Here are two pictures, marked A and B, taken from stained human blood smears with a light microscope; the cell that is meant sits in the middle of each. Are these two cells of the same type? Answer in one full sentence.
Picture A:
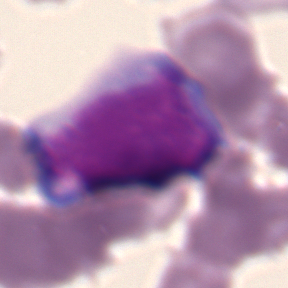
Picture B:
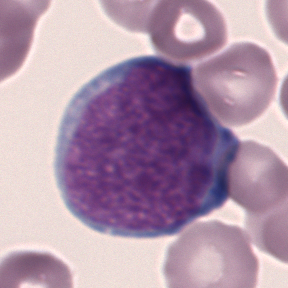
Yes; the cells in both pictures are myeloblasts.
